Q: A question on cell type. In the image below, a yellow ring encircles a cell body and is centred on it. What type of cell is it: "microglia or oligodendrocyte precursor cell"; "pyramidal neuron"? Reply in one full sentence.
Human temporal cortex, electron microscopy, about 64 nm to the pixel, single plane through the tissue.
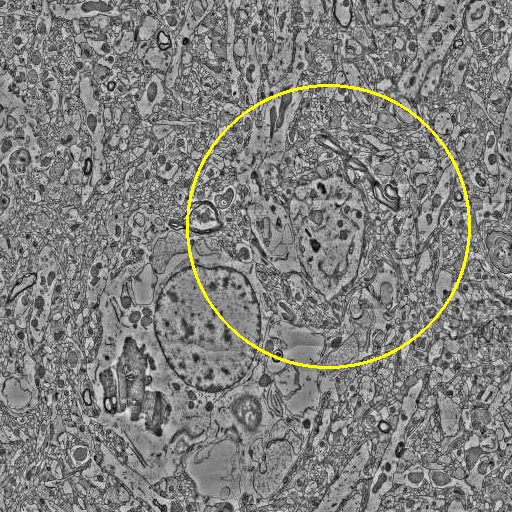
It is a pyramidal neuron whose cell body sits at the centre of the yellow ring in the image.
